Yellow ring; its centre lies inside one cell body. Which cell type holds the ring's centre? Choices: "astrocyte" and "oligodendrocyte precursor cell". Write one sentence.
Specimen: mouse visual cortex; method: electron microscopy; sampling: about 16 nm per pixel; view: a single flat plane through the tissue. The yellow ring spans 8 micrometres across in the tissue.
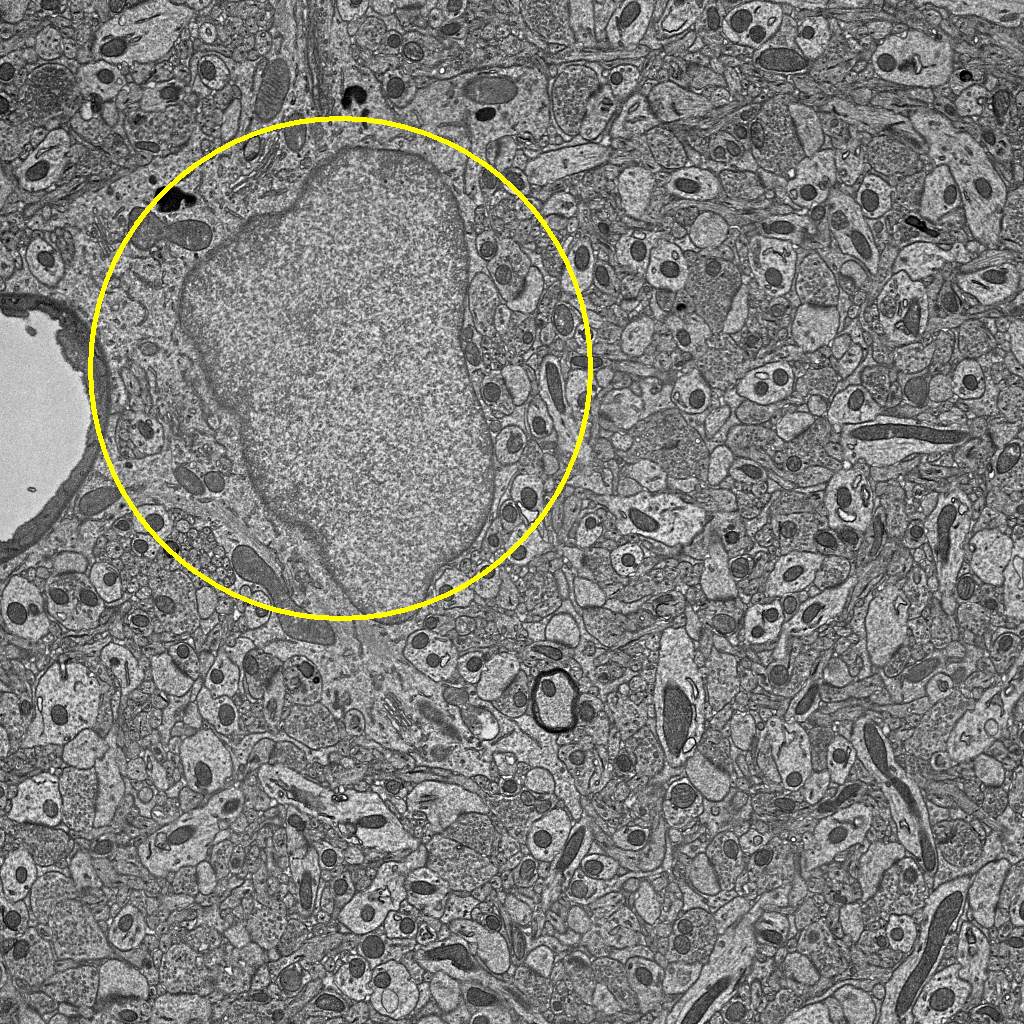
At the centre of the ring sits an astrocyte.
